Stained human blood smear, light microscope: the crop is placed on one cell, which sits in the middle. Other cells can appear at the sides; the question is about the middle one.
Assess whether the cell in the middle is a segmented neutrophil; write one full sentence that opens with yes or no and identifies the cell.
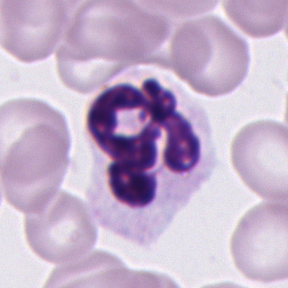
Yes, the cell in the middle is recognised as a segmented neutrophil.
